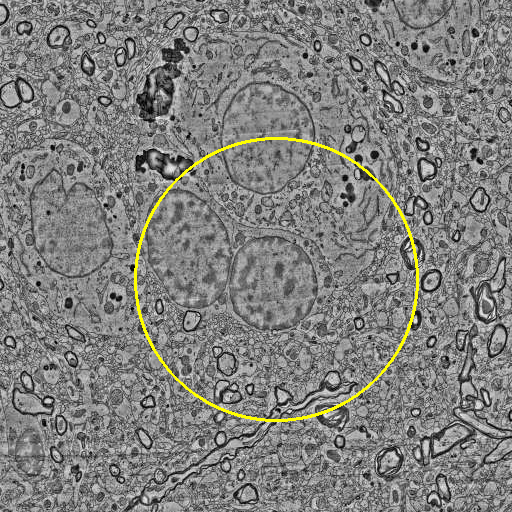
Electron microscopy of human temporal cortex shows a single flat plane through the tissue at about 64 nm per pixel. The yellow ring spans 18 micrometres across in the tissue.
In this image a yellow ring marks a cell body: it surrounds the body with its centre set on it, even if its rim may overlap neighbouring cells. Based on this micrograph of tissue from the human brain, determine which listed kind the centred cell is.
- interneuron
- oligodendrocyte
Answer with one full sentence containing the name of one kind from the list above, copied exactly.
It is an oligodendrocyte whose body the yellow ring encloses at its centre.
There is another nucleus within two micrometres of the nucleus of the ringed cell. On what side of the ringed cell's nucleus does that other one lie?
The other nucleus lies to the upper left of it in the picture.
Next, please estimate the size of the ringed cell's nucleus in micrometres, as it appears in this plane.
The nucleus is about 6 micrometres across in this plane.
